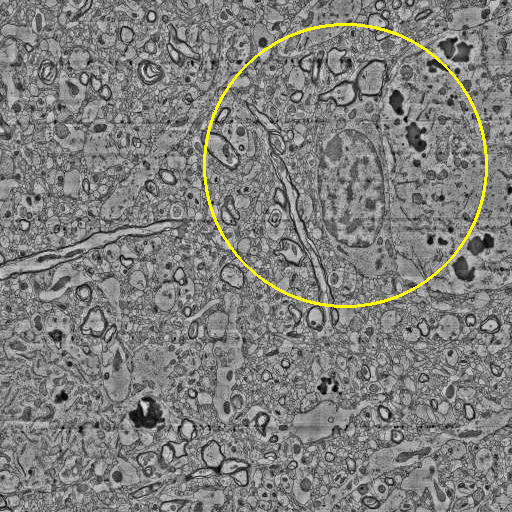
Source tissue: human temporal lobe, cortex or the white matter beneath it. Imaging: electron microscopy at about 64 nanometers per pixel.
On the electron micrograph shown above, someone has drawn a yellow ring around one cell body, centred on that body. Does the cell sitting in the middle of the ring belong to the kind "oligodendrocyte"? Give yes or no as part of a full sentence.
Yes, the cell located in the middle of the ring in the micrograph is of that kind.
